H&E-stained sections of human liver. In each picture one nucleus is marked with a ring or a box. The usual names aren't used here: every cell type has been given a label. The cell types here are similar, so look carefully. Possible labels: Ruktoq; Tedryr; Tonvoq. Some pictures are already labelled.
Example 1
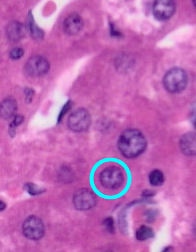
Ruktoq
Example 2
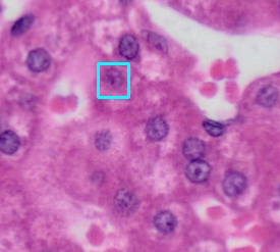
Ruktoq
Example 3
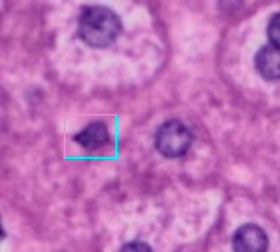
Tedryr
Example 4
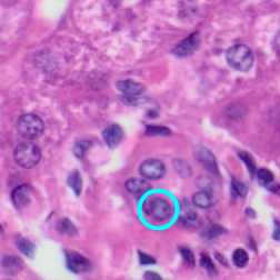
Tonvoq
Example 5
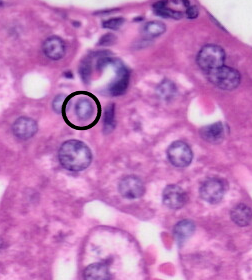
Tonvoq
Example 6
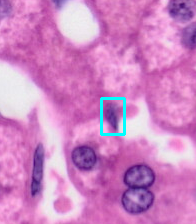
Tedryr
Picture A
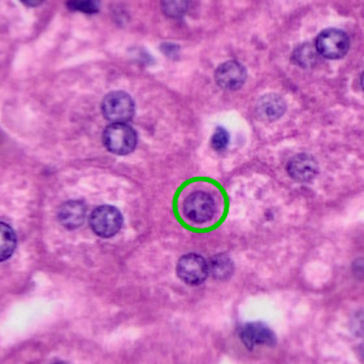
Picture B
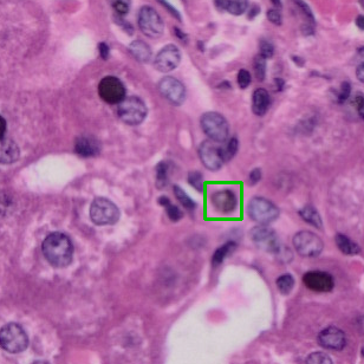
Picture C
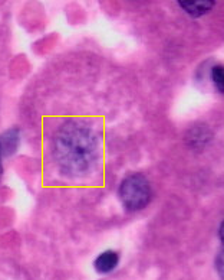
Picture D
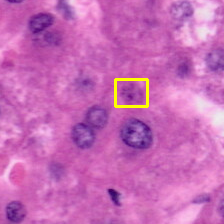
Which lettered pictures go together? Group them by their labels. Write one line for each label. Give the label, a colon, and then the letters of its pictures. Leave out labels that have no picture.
Ruktoq: A, C, D
Tonvoq: B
